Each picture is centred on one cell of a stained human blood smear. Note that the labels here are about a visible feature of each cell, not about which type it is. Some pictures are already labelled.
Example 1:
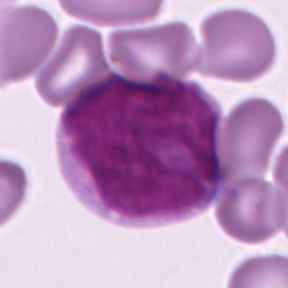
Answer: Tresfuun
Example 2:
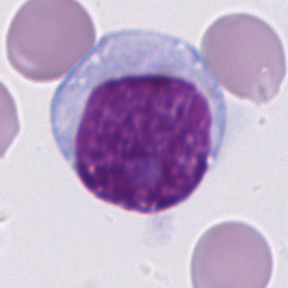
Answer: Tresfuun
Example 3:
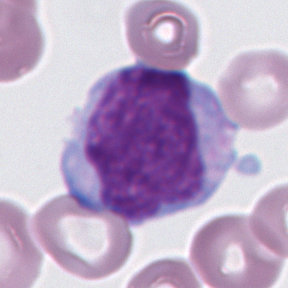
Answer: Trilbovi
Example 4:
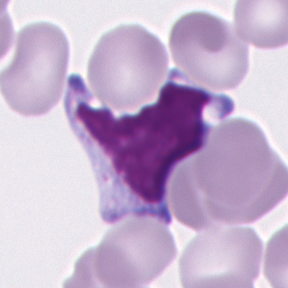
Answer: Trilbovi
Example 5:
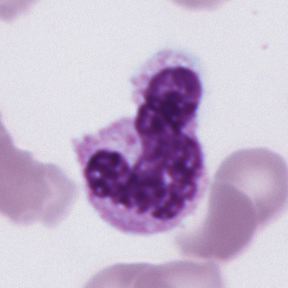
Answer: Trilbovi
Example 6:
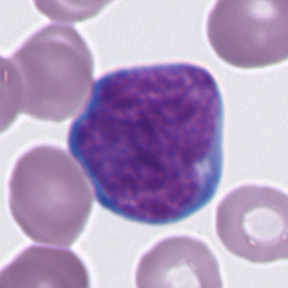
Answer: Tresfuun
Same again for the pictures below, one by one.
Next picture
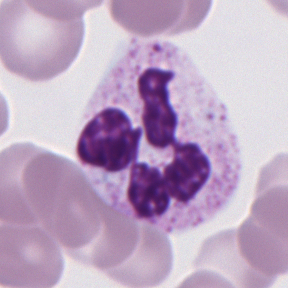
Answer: Tresfuun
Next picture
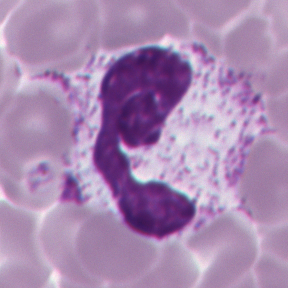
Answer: Trilbovi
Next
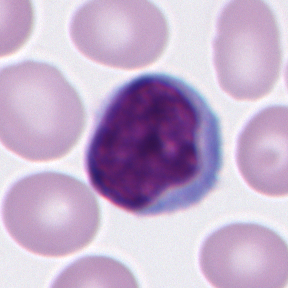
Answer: Tresfuun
